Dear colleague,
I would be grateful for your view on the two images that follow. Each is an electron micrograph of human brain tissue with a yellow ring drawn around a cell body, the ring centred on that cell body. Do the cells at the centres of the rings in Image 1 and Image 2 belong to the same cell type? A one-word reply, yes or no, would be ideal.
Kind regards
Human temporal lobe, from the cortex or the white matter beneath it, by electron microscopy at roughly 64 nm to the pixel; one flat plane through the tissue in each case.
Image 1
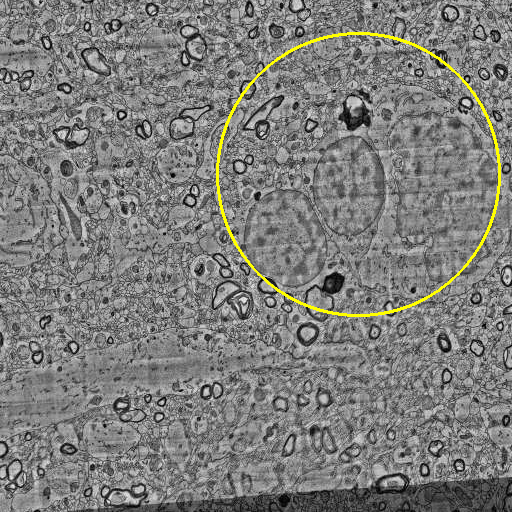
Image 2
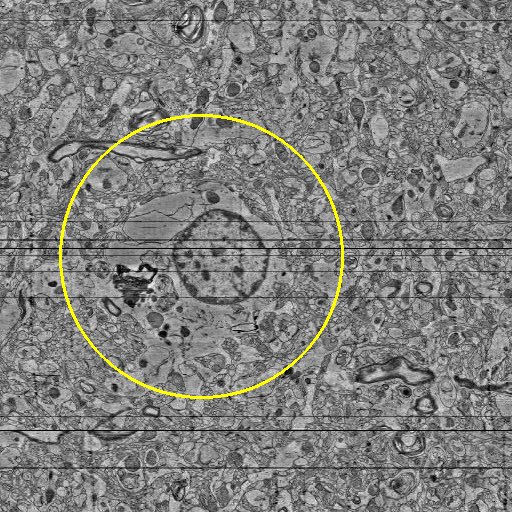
no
